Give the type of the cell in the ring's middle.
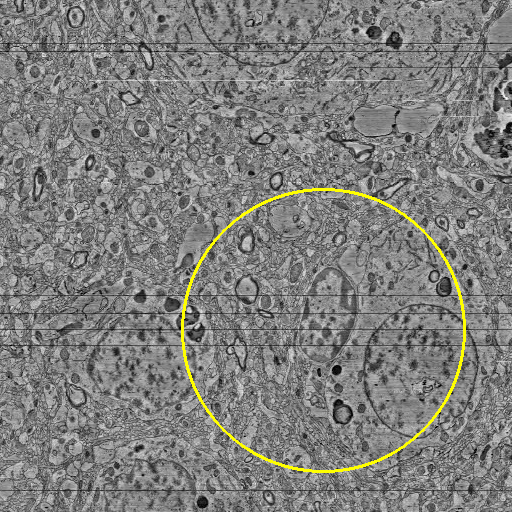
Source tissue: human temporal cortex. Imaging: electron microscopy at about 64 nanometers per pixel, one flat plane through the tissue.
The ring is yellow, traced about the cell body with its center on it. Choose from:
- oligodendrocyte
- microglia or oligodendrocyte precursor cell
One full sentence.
Here, a microglial cell or oligodendrocyte precursor cell is the cell lying at the center of the yellow ring.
